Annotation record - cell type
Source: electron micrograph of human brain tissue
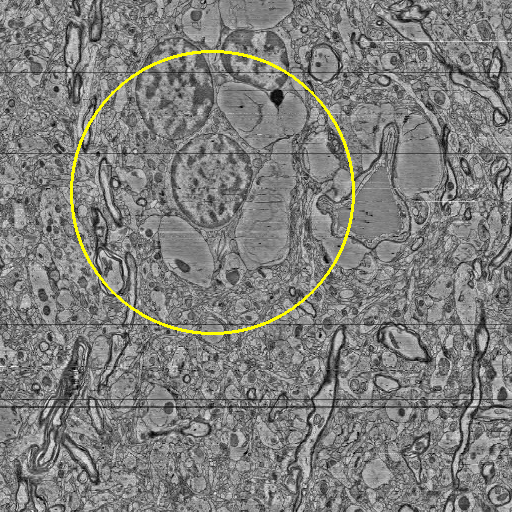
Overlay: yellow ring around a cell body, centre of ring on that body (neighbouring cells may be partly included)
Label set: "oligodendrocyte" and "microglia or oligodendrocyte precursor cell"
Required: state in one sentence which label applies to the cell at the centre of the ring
This cell should be labelled as an oligodendrocyte.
